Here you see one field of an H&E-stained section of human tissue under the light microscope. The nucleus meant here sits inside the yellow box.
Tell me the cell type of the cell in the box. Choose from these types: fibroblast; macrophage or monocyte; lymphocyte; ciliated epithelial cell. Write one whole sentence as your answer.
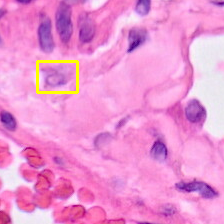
Just put down that the cell in the box is a fibroblast.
